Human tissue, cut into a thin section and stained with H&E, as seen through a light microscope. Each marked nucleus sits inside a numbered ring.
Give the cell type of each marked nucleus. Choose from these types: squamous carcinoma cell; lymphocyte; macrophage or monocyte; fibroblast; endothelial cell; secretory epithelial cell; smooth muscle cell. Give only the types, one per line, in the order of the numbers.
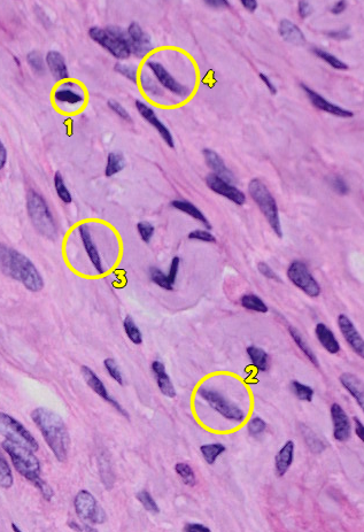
lymphocyte
fibroblast
fibroblast
fibroblast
